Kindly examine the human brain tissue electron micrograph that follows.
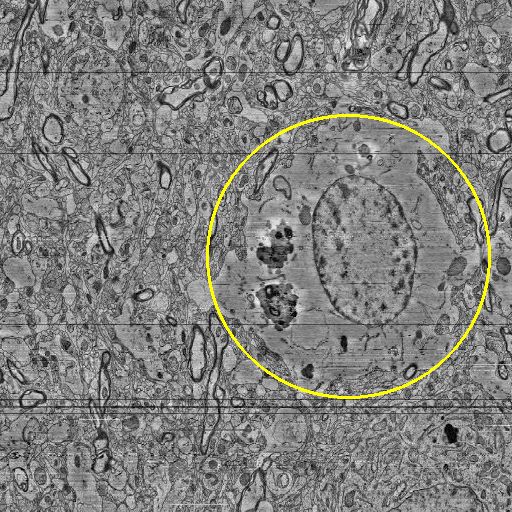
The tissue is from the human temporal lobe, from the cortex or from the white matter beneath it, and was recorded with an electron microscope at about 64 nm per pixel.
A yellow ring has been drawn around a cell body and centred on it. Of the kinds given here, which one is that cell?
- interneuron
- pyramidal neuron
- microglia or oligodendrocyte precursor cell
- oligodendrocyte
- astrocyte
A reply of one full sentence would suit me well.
The micrograph's ringed cell, the one at the ring's centre, is an astrocyte.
